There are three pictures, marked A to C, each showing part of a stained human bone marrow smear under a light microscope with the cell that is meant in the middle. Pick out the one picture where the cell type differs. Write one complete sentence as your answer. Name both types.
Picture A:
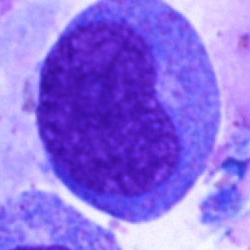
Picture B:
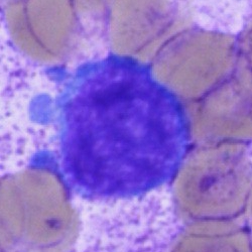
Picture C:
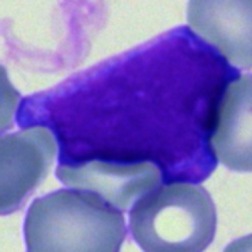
Picture A differs, because its cell is a promyelocyte and the rest are blasts.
